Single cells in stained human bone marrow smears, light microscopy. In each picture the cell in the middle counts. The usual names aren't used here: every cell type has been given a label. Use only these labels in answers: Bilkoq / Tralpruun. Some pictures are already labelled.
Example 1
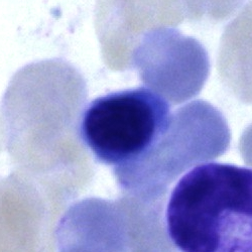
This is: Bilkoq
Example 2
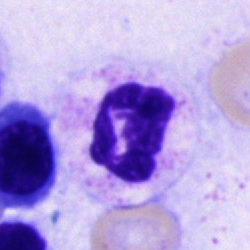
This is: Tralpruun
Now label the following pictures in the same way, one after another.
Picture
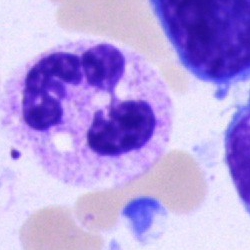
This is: Tralpruun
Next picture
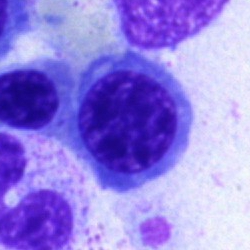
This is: Bilkoq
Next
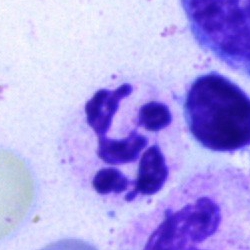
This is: Tralpruun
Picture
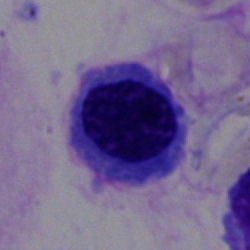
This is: Bilkoq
